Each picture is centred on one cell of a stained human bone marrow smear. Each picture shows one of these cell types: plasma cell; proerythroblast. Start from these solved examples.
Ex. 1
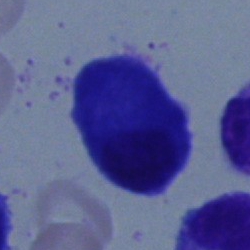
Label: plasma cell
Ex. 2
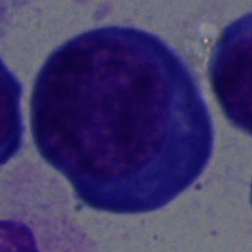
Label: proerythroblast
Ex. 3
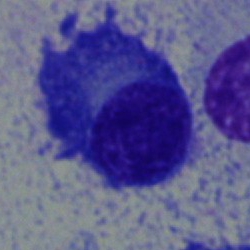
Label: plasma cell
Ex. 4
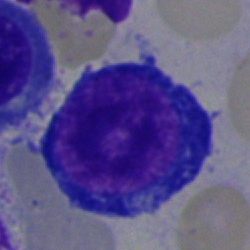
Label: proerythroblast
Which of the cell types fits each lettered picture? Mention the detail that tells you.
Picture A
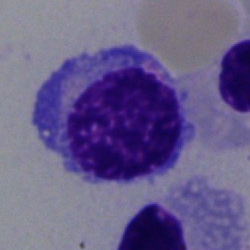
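Answer: plasma cell. The chromatin is dark purple and coarsely clumped with small paler spots between the clumps.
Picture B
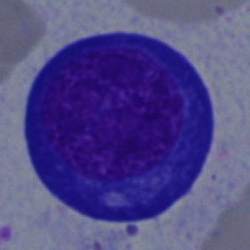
Answer: proerythroblast. The chromatin is finely stippled rather than gathered into coarse clumps.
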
